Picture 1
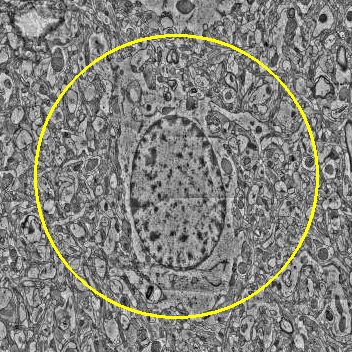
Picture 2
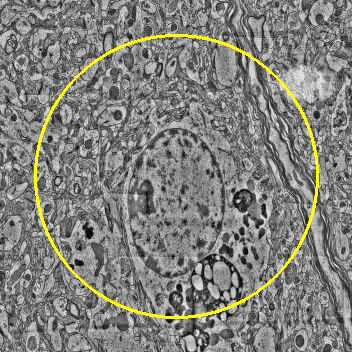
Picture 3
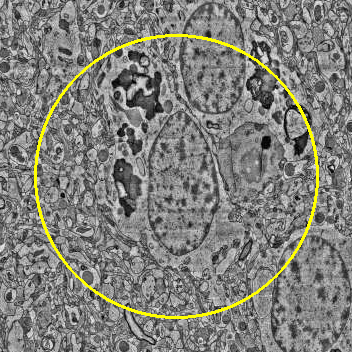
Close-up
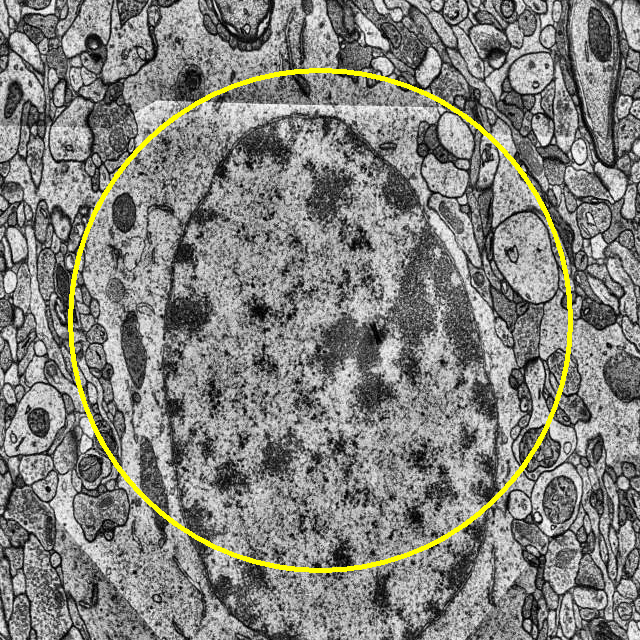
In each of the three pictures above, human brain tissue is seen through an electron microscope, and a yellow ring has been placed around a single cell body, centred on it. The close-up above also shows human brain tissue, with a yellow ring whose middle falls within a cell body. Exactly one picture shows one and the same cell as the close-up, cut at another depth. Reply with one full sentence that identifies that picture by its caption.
The close-up corresponds to the yellow-ringed cell in Picture 1.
